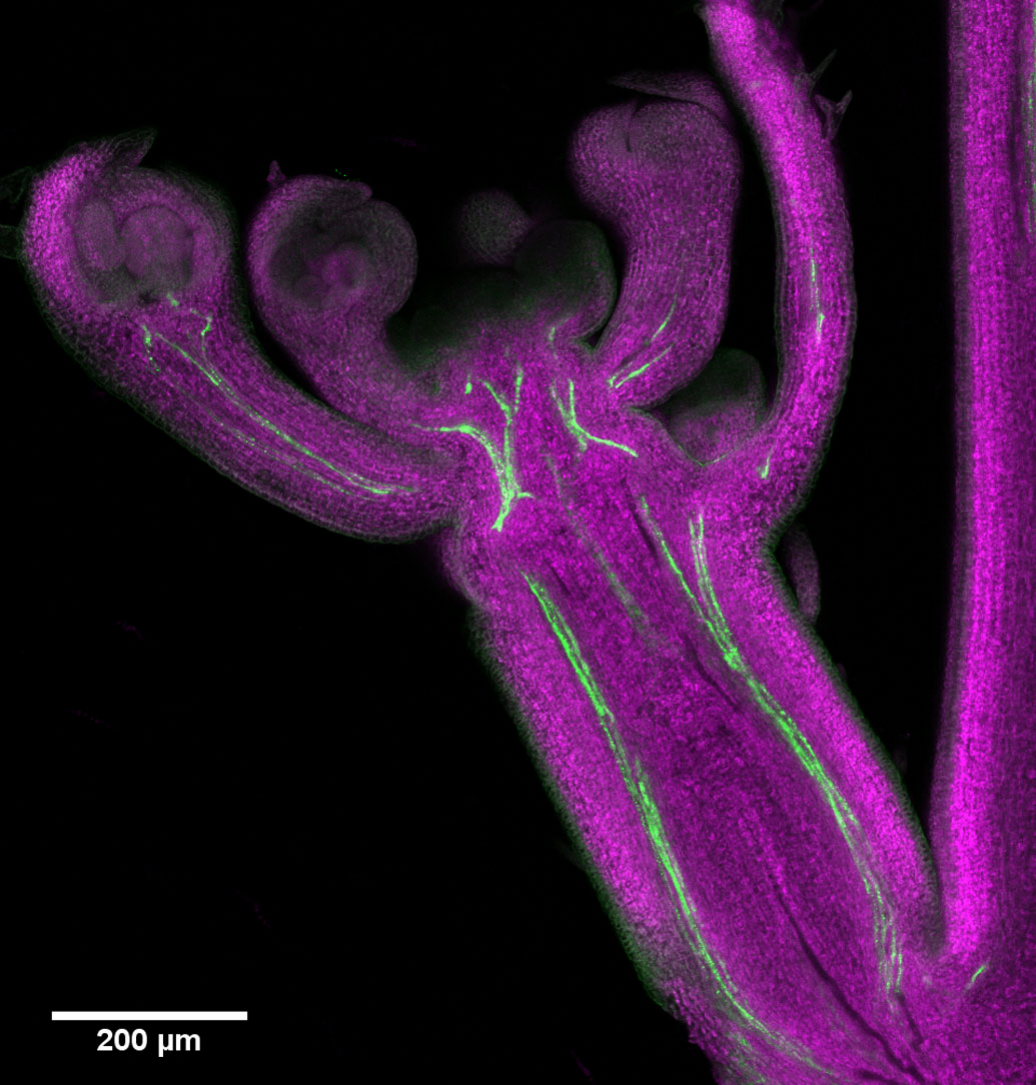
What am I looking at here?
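Longitudinal optical section of an axillary bud branching from the main inflorescence stem, whose edge runs along the right side. The lateral shoot widens upward into a cluster of young buds on curved stalks. The buds are rounded and dimmer, with paler inner domes, while the stalks and the shoot axis are densely filled with small magenta cells in longitudinal files. The green strands lie deep within the tissue, not at the surface.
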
